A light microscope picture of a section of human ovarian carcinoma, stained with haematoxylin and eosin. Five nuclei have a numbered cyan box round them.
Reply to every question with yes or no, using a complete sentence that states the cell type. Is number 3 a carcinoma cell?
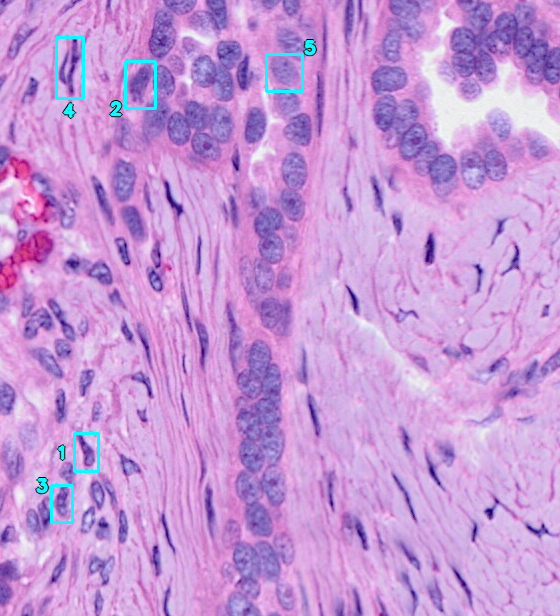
No, what number 3 shows is a fibroblast, not a carcinoma cell.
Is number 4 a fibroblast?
Yes, for number 4, the cell is a fibroblast.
